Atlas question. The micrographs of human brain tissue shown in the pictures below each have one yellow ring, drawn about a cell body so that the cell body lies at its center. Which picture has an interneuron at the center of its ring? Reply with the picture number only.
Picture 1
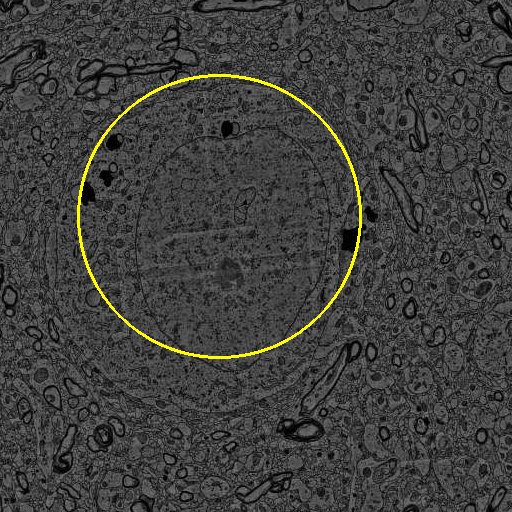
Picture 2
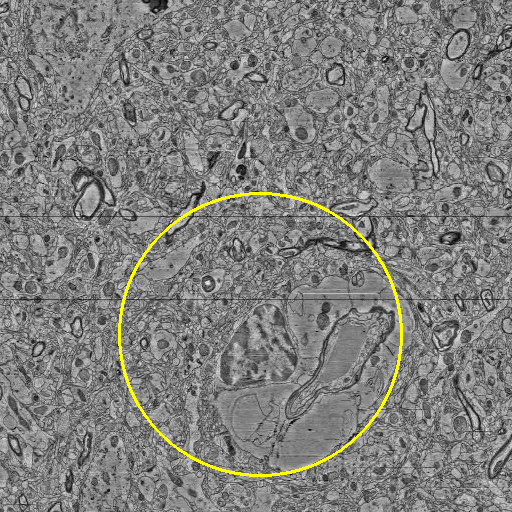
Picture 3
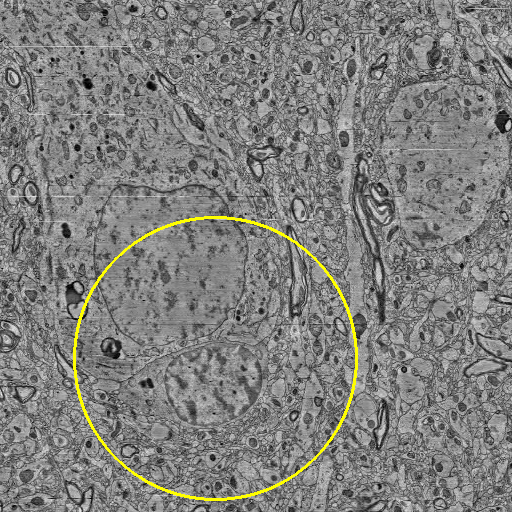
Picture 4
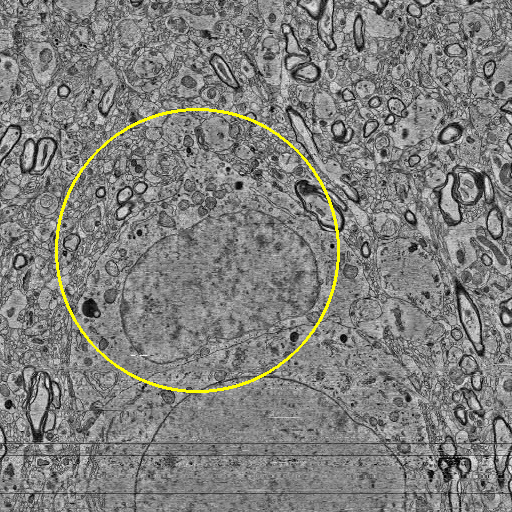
4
